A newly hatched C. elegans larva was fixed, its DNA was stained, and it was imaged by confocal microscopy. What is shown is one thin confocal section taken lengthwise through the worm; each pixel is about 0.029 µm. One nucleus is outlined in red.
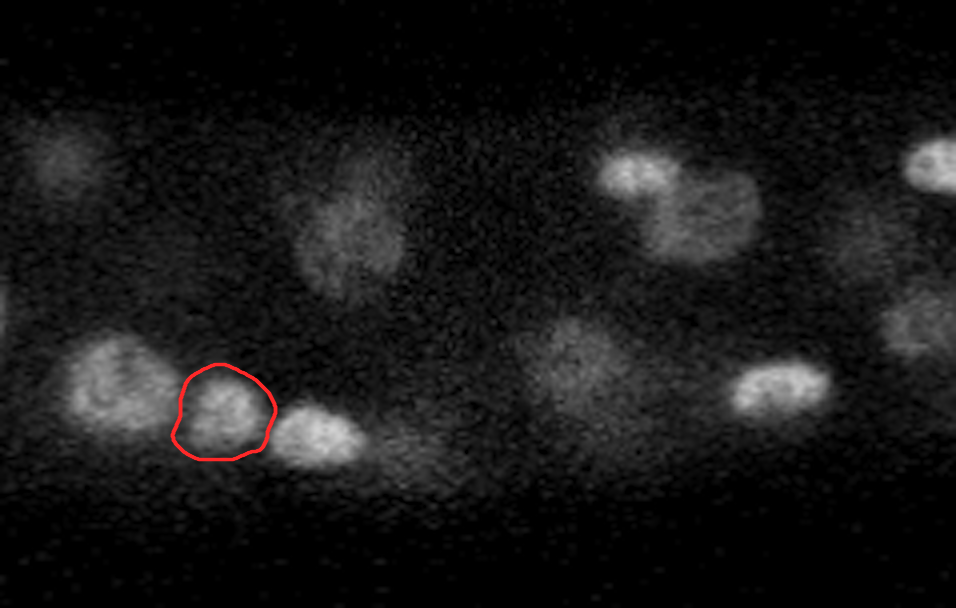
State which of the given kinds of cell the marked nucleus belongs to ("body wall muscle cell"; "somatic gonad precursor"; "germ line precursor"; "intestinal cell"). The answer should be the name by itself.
somatic gonad precursor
